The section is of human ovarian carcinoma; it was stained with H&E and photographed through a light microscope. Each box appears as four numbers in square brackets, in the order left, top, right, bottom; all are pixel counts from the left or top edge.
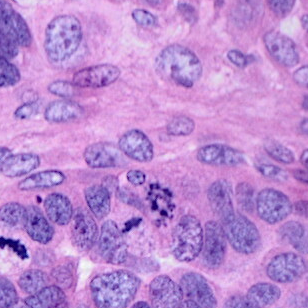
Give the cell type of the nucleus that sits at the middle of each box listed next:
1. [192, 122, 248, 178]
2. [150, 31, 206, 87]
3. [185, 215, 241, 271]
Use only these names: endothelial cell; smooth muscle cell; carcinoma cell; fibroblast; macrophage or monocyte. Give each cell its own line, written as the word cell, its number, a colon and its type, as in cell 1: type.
cell 1: fibroblast
cell 2: fibroblast
cell 3: carcinoma cell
